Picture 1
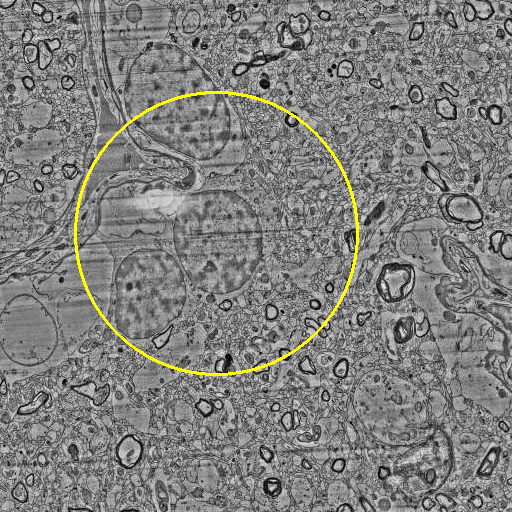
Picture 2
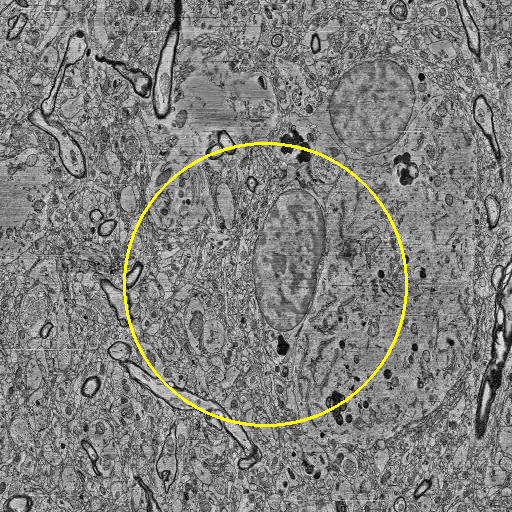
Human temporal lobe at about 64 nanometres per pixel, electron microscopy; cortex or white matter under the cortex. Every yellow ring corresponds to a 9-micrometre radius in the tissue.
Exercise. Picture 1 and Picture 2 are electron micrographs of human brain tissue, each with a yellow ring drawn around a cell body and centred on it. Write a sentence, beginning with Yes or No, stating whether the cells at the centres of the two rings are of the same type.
No, the cells at the centres of the rings are of two types.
